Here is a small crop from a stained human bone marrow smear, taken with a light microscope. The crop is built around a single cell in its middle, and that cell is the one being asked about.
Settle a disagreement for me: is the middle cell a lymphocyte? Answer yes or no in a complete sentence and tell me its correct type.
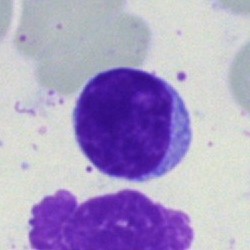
Yes, the cell at the middle of the field is to be classed as a lymphocyte.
